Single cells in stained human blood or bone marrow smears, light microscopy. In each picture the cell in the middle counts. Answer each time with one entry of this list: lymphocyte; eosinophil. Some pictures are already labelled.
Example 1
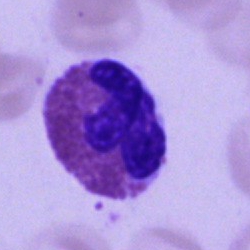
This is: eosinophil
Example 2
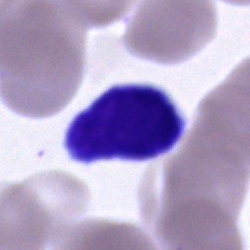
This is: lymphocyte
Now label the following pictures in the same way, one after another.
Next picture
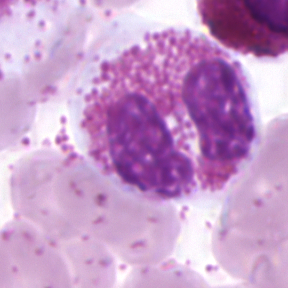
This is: eosinophil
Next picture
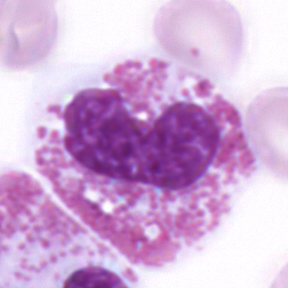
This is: eosinophil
